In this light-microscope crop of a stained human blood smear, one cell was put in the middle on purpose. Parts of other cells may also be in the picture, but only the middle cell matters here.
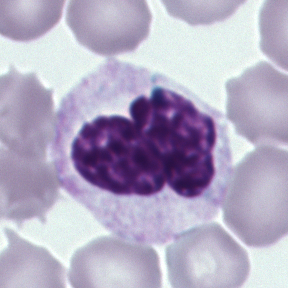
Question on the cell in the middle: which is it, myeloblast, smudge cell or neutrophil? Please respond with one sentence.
The middle position in this crop is taken by a neutrophil.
